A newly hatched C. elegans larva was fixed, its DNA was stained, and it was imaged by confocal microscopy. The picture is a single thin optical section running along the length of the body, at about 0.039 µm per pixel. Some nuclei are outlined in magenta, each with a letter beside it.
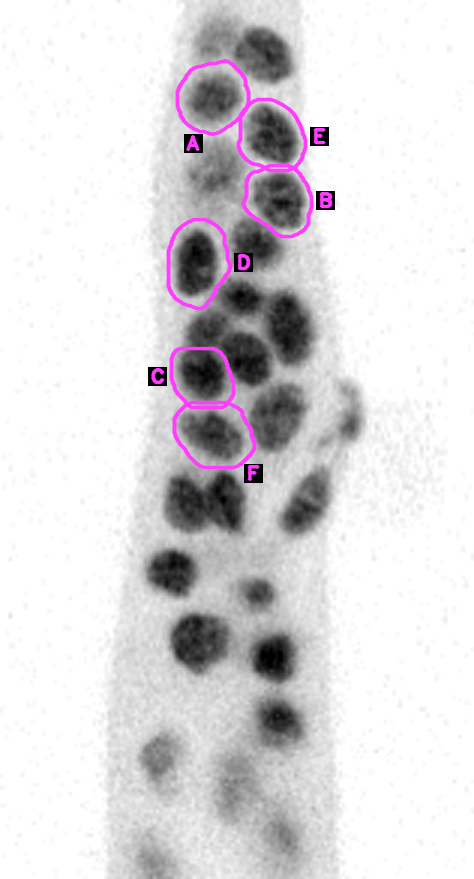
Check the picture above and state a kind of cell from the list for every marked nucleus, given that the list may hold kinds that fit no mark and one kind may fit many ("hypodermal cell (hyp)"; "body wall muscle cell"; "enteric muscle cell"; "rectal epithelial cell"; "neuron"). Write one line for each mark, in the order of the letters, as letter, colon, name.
A: neuron
B: hypodermal cell (hyp)
C: enteric muscle cell
D: body wall muscle cell
E: hypodermal cell (hyp)
F: neuron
